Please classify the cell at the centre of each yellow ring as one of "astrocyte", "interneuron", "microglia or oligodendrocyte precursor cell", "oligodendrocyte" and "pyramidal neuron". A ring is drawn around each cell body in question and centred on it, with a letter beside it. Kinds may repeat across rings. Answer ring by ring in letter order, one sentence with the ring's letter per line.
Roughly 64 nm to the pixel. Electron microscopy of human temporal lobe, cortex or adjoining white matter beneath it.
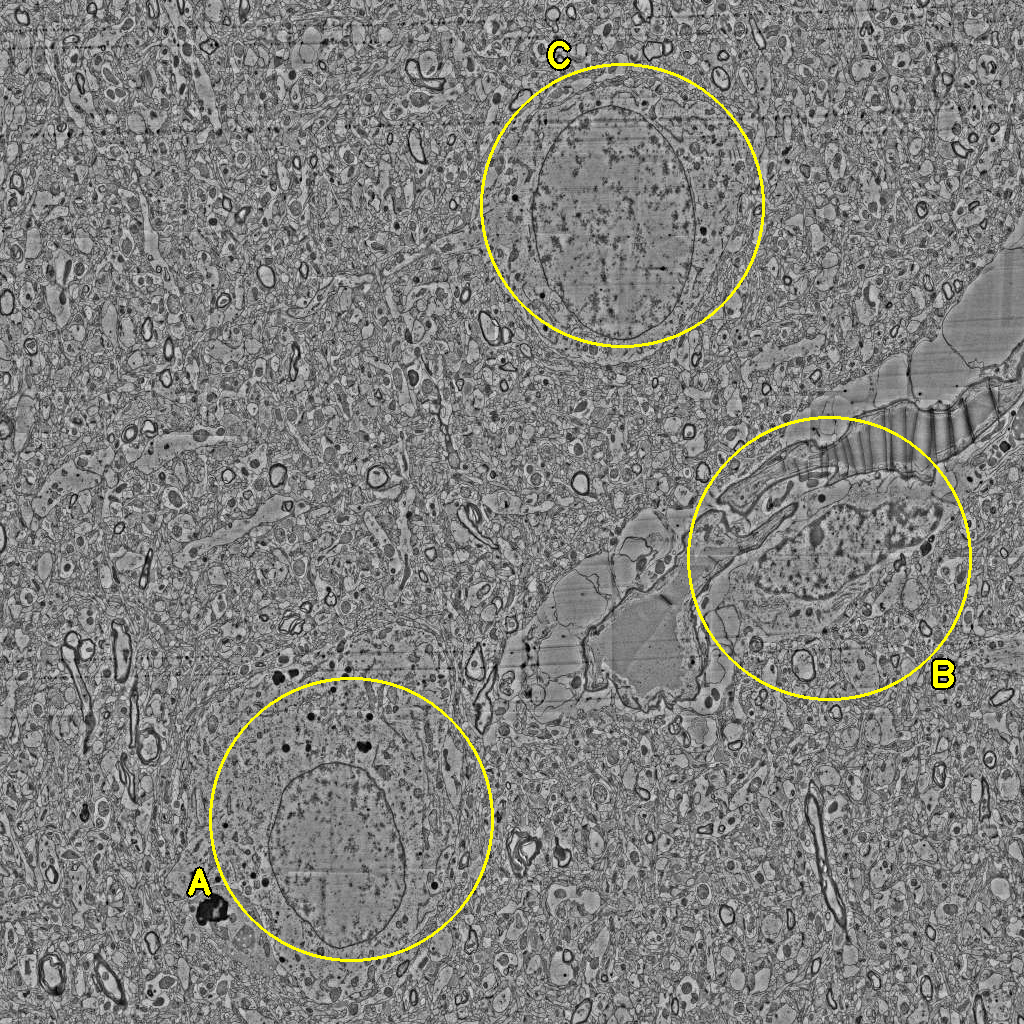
The cell at the heart of ring A is a pyramidal neuron.
The cell at the heart of ring B is a microglial cell or oligodendrocyte precursor cell.
The cell at the heart of ring C is a pyramidal neuron.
